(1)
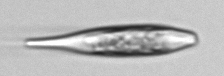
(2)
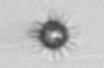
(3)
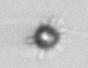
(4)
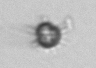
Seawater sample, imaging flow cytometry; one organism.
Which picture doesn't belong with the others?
Picture 1.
